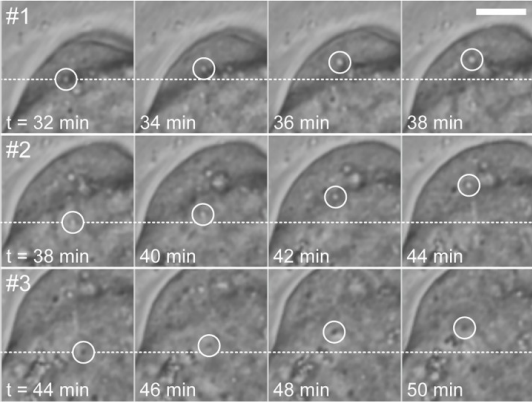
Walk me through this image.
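The cytoplasm is finely granular and holds scattered small refractile particles. In each row a single small particle is circled, and from frame to frame it lies progressively further from the horizontal reference line, closer to the bulge.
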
